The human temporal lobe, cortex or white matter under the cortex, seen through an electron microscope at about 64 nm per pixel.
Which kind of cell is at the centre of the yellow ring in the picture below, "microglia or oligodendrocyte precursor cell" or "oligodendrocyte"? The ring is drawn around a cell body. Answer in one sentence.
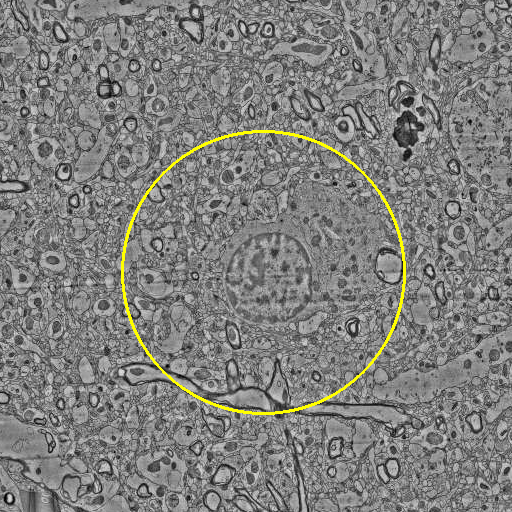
The ring's central cell is an oligodendrocyte.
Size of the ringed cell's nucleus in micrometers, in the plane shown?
The nucleus measures about 6 micrometers across in this plane.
